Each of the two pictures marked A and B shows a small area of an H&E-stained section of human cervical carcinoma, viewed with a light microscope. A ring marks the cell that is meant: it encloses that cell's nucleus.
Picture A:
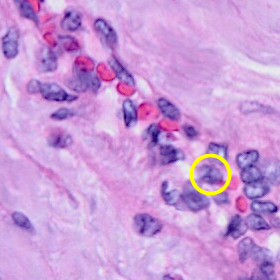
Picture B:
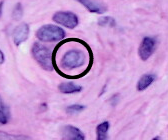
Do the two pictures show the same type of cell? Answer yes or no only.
yes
